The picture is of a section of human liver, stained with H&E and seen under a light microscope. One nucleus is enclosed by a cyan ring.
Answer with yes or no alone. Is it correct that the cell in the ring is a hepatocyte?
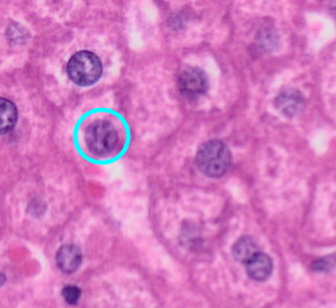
yes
